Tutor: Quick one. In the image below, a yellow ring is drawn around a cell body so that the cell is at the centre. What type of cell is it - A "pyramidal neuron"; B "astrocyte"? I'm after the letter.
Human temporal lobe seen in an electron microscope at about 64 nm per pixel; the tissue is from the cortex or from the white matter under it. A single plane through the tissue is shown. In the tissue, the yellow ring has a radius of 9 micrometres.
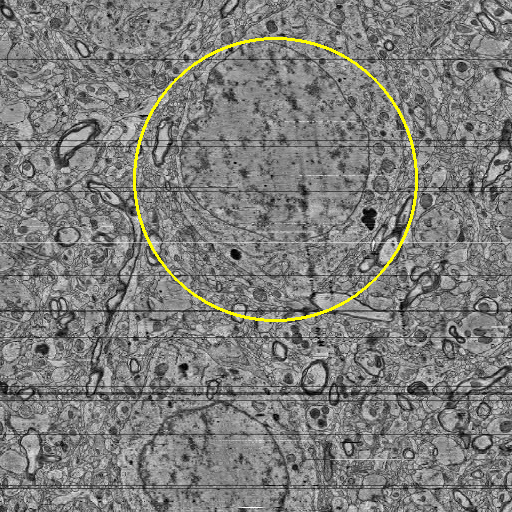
A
